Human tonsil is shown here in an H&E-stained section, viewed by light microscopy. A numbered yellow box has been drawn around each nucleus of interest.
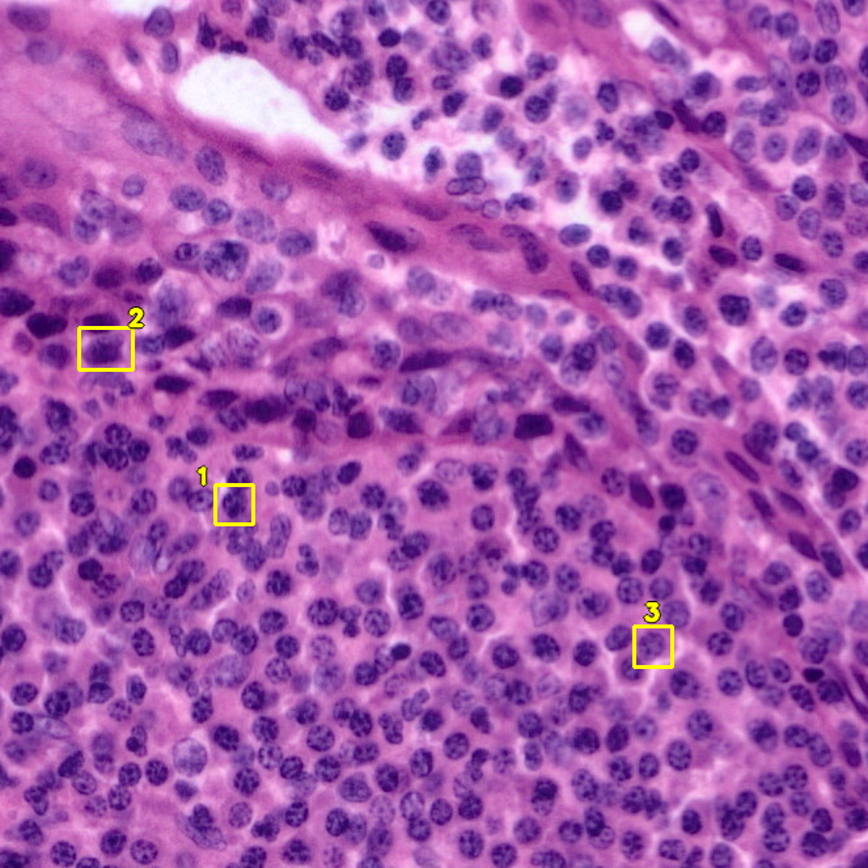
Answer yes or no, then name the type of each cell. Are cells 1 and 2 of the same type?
No, just to clarify, cell 1 is a plasma cell and cell 2 is a squamous epithelial cell.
